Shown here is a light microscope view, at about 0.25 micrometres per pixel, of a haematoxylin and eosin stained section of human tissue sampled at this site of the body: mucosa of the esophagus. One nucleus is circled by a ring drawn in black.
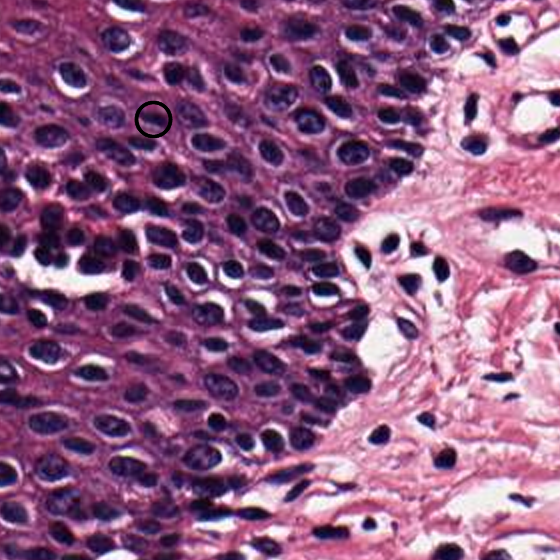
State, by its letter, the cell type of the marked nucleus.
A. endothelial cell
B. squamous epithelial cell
B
